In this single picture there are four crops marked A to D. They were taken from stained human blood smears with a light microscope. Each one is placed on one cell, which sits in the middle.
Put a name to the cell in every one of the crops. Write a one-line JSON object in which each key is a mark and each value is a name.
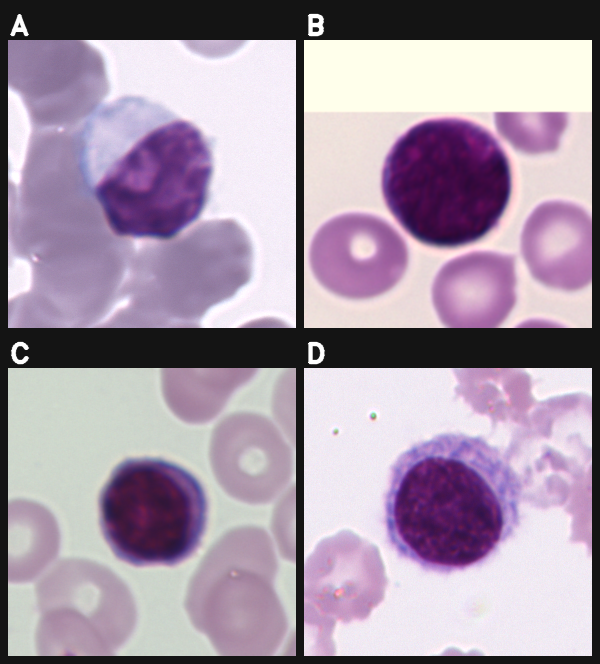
{"A": "typical lymphocyte", "B": "myeloblast", "C": "typical lymphocyte", "D": "hairy cell"}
